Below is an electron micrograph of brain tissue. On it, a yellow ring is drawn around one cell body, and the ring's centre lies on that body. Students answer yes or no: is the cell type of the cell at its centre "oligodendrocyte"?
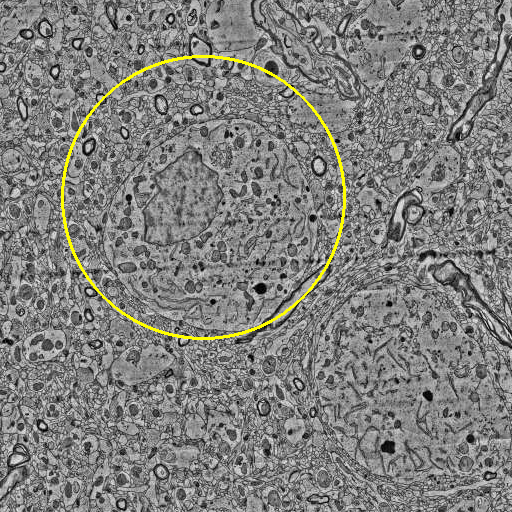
no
